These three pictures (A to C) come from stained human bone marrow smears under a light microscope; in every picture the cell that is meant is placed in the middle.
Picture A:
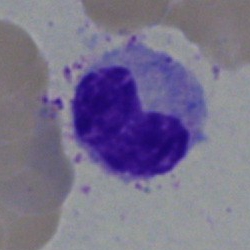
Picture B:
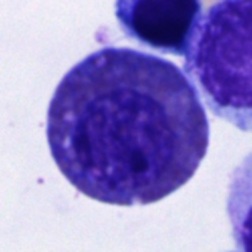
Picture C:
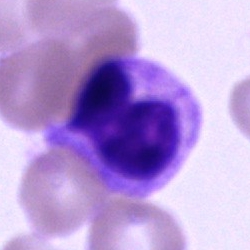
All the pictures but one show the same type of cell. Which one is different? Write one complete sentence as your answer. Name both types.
Unlike the rest, which show metamyelocytes, picture B shows an eosinophil.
